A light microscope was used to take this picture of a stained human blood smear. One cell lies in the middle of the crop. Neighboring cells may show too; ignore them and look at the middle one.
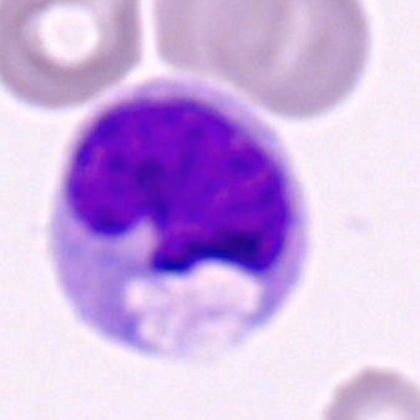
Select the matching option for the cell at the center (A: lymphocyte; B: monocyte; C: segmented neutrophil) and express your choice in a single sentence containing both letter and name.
The cell in the middle is correctly identified as a monocyte in option B.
